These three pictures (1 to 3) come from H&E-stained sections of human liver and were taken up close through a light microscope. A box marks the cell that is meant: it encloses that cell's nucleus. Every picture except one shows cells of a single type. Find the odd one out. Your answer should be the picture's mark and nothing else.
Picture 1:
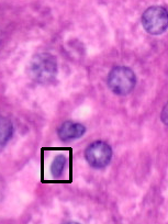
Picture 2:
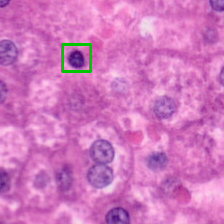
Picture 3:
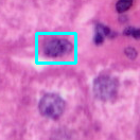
3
